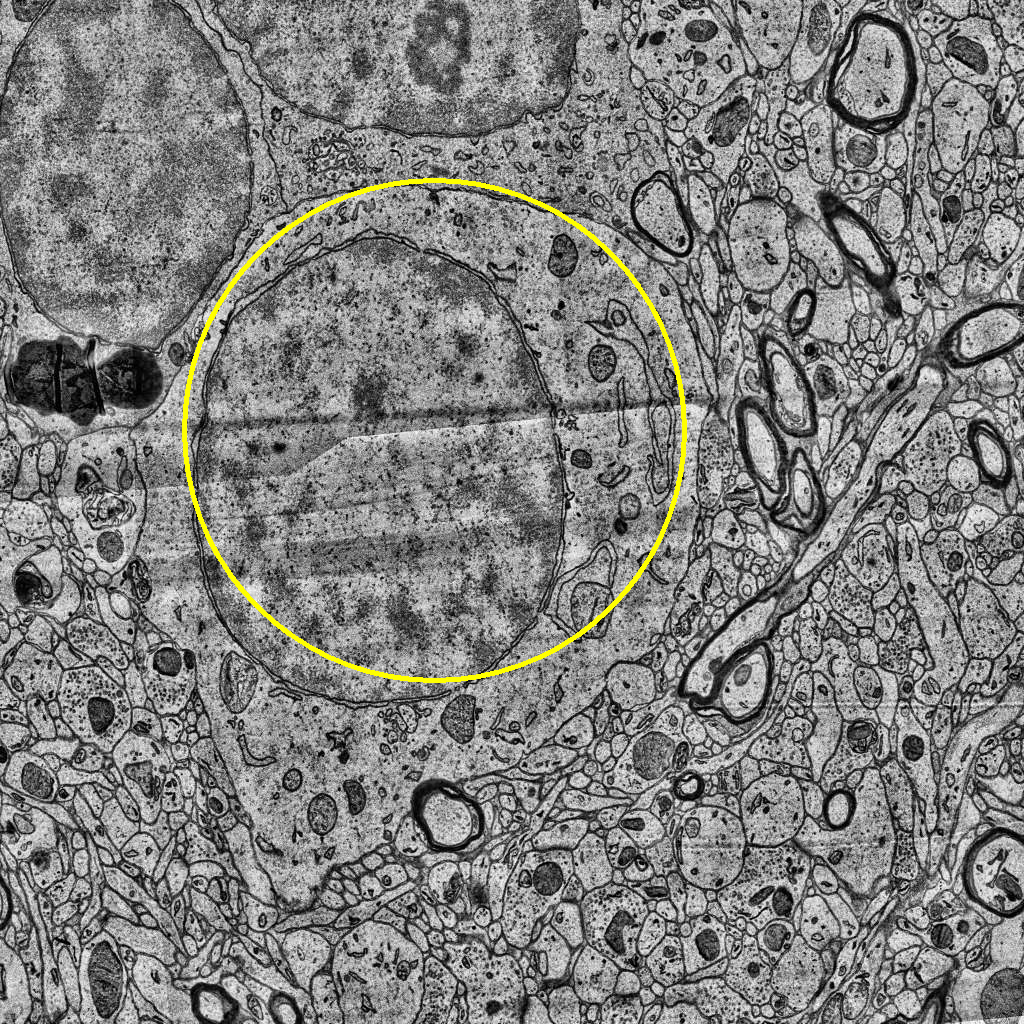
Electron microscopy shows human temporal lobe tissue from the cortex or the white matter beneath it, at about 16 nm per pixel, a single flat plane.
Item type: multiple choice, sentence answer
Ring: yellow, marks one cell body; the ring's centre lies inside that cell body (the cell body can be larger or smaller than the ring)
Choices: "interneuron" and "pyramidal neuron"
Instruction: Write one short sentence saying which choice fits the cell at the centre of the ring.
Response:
The centre of this ring lies on an interneuron.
